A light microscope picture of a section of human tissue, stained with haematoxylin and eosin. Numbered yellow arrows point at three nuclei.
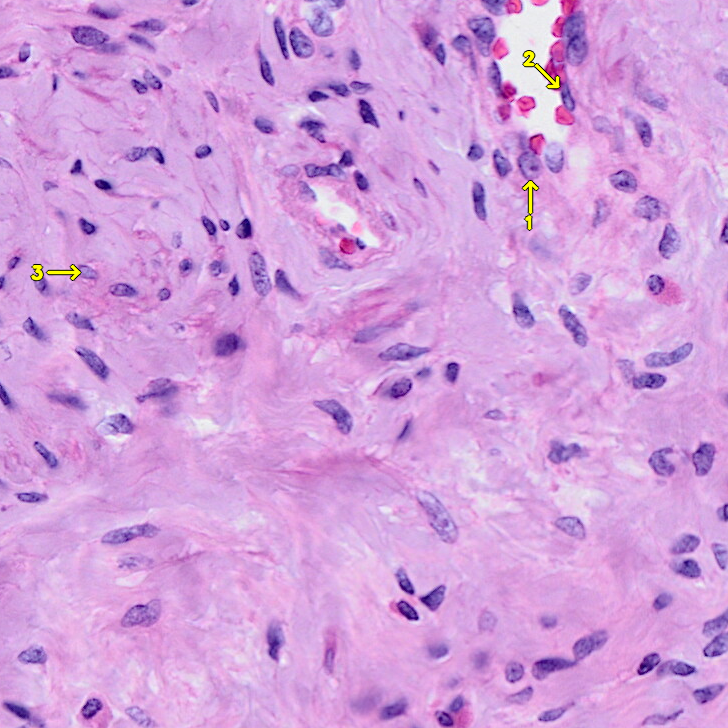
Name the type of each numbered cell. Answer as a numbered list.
1. endothelial cell
2. endothelial cell
3. smooth muscle cell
